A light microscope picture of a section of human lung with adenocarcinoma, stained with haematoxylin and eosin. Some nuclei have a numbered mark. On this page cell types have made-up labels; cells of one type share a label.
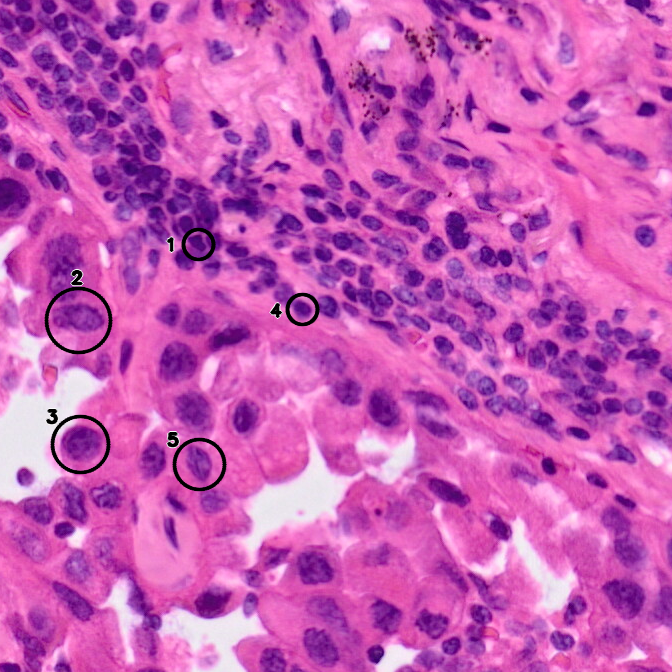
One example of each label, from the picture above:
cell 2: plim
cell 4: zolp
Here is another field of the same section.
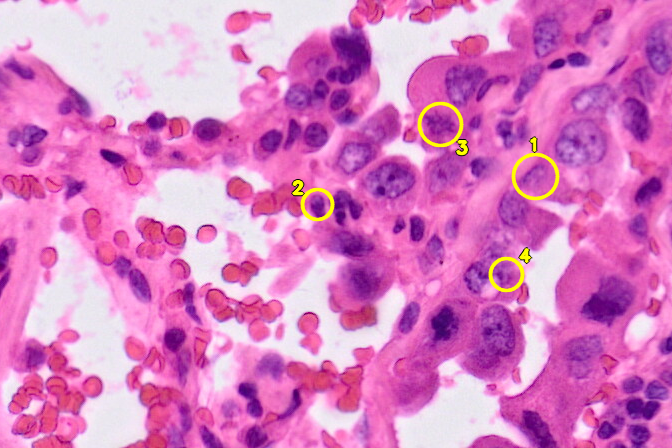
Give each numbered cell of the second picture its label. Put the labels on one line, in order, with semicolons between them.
plim; zolp; plim; plim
